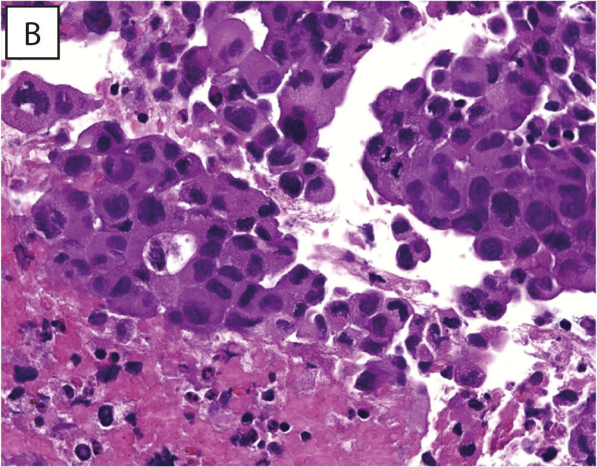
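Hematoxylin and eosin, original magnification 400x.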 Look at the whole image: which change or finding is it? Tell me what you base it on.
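Large, hyperchromatic nuclei. Nuclei are large relative to the cells. Nuclei stain dark purple. Nuclei vary in size and shape.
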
